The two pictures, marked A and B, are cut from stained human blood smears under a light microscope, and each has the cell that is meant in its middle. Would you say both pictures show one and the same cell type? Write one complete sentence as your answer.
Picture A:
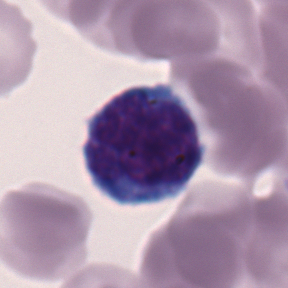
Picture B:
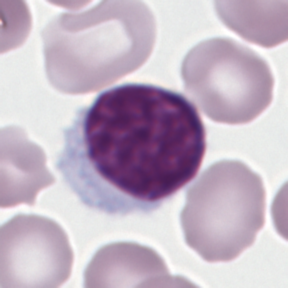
No, they differ: the cell is a typical lymphocyte in picture A and a hairy cell in picture B.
